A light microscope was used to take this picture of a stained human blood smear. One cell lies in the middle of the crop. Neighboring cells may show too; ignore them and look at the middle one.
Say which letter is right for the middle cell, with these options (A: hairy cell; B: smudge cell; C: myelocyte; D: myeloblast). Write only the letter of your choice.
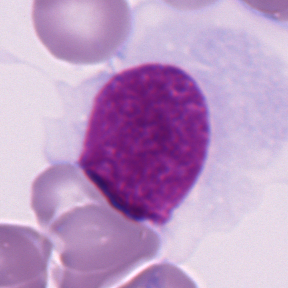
A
